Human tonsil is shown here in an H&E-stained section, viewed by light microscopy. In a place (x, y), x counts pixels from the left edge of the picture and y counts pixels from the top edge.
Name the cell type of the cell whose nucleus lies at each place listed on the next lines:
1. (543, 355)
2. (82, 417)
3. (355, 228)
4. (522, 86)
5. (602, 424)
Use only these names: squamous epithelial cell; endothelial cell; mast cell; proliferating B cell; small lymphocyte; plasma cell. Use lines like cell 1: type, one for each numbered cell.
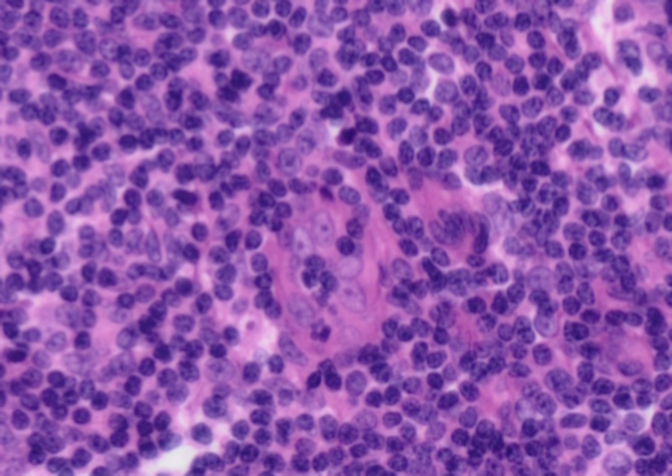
cell 1: plasma cell
cell 2: small lymphocyte
cell 3: endothelial cell
cell 4: small lymphocyte
cell 5: small lymphocyte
